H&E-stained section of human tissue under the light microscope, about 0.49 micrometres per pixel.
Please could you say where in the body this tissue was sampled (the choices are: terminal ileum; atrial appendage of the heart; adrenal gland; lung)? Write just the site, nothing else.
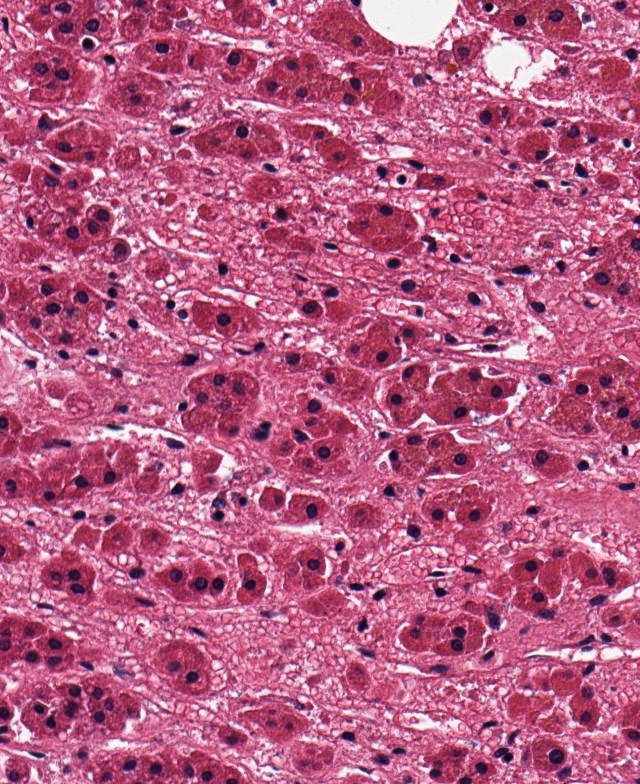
adrenal gland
